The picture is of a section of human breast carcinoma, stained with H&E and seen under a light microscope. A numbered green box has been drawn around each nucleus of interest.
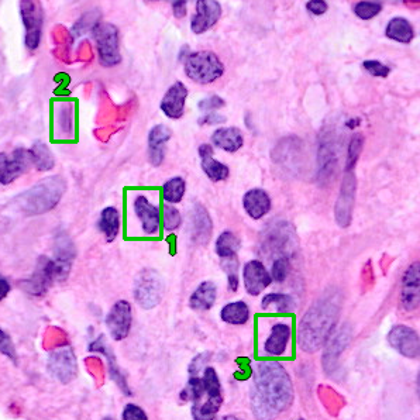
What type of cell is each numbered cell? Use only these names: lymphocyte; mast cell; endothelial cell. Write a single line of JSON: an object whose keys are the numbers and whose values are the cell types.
{"1": "lymphocyte", "2": "endothelial cell", "3": "lymphocyte"}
